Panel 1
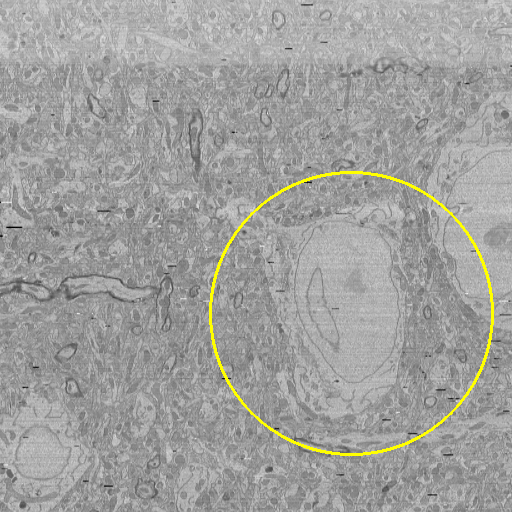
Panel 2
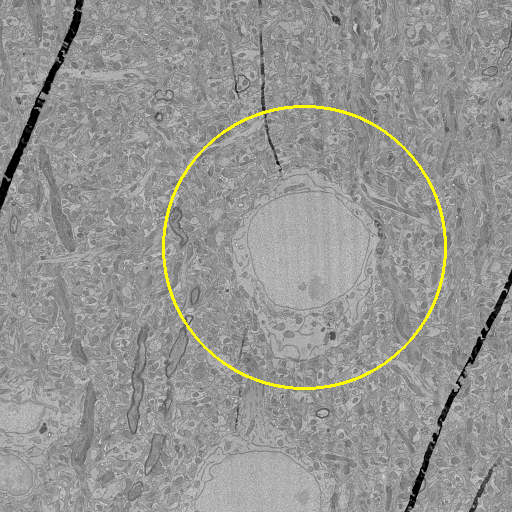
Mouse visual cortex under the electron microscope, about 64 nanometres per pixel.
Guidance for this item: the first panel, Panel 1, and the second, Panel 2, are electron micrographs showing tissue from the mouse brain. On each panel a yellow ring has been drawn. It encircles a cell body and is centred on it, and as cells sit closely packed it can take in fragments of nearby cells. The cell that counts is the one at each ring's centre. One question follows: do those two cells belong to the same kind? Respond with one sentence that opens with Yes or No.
Yes, the cells at the ring centres in Panel 1 and Panel 2 are of one kind.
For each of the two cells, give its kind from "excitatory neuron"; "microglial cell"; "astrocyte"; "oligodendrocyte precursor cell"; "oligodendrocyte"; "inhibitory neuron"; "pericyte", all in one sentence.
Each of the two pictures has an excitatory neuron at the ring centre.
